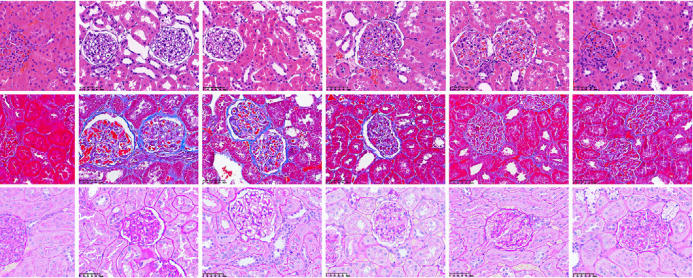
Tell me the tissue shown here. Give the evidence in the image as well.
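Round tufted capillary balls surrounded by a clear space and capsule. Many cross-sectioned tubules lined by a single layer of epithelium fill the rest of the field. That points to this answer: kidney.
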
